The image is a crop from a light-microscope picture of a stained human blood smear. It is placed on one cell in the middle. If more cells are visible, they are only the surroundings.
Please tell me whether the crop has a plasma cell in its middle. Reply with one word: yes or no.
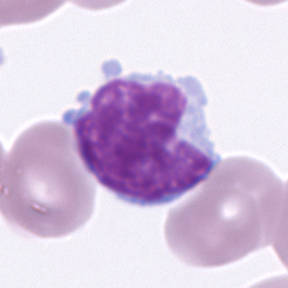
no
